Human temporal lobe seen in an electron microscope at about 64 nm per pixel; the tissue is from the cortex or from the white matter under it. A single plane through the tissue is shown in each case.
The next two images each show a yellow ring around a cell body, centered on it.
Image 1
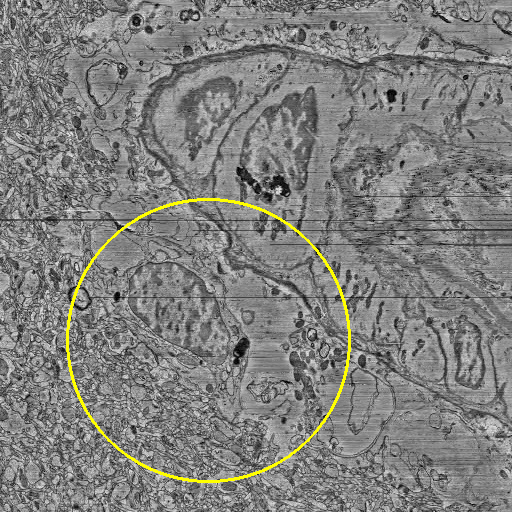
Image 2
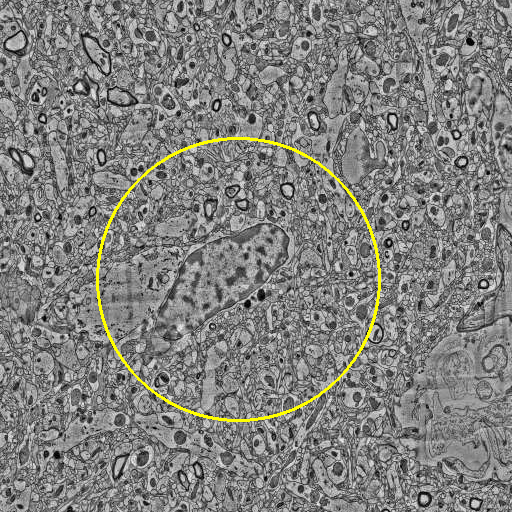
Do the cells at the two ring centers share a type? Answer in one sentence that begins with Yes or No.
Yes, across the two images the cells at the ring centers share one type.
